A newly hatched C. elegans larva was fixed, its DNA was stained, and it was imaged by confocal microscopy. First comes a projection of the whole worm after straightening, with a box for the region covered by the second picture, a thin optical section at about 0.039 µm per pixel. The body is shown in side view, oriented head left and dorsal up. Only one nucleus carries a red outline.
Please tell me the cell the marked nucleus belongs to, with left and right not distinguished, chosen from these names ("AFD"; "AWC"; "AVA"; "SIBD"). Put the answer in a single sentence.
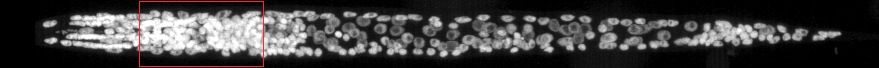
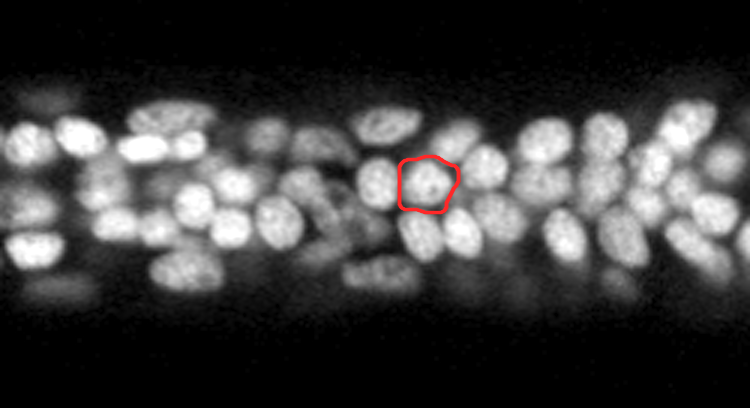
The nucleus is from AVA, a neuron.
